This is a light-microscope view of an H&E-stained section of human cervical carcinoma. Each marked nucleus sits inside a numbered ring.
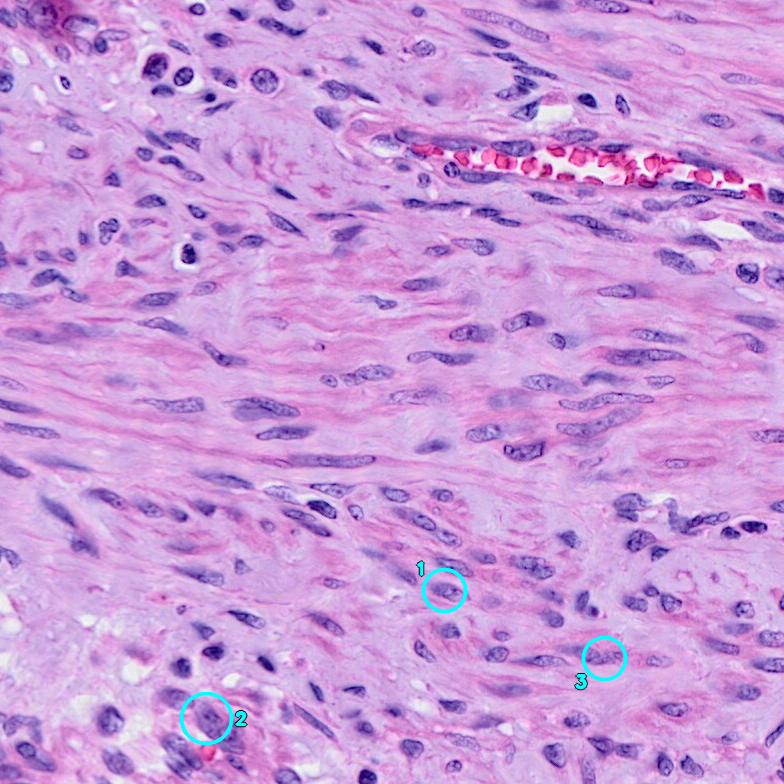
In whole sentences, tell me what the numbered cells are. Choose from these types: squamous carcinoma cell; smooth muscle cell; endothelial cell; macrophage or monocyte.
Cells 1 and 3 are smooth muscle cells. Cell 2 is an endothelial cell.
